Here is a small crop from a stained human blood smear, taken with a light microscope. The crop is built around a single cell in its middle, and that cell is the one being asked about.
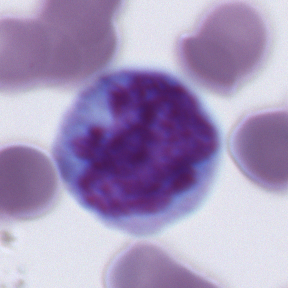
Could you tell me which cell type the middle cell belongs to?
monocyte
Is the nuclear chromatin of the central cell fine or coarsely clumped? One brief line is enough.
Take a look at the chromatin, which is coarsely clumped.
